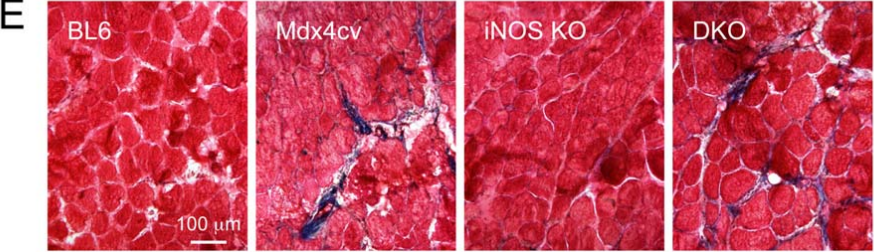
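Skeletal muscle in cross section, myofibers stained red with pale white gaps between them. In two of the images blue-stained fibrous bands run as streaks through the spaces between fibers, thickest where several fibers meet; the fibers beside them vary in size.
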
